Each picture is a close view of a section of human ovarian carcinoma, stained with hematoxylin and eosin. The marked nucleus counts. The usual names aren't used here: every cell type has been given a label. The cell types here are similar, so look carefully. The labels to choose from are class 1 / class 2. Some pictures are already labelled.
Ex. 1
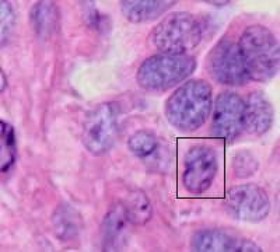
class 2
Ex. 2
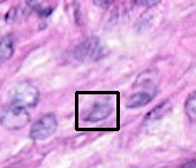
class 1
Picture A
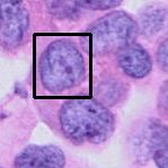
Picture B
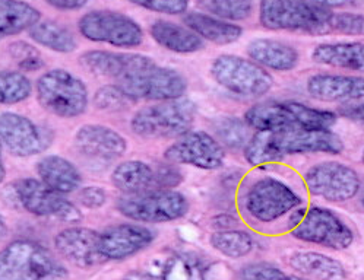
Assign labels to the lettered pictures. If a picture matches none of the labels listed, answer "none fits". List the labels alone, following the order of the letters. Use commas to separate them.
none fits, none fits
